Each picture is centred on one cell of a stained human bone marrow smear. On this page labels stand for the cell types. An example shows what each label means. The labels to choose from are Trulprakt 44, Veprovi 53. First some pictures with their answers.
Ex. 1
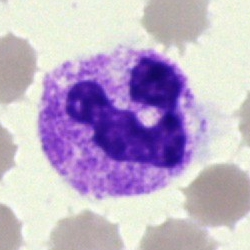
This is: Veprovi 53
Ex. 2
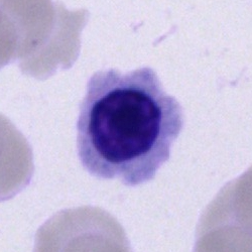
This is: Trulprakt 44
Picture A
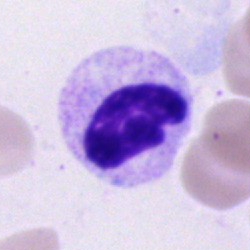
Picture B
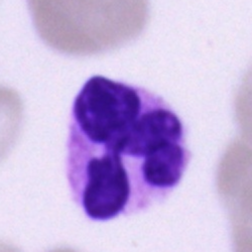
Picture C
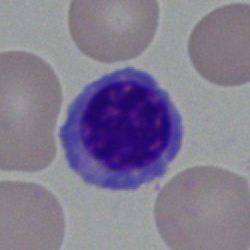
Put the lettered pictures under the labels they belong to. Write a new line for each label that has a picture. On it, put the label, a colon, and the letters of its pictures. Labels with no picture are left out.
Trulprakt 44: C
Veprovi 53: A, B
